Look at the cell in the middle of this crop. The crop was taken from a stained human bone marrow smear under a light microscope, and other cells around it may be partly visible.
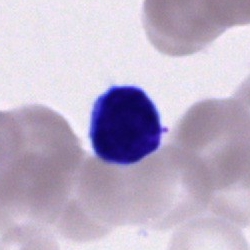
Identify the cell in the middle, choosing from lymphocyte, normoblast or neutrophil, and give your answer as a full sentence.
The single cell at the center of the crop is a lymphocyte.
